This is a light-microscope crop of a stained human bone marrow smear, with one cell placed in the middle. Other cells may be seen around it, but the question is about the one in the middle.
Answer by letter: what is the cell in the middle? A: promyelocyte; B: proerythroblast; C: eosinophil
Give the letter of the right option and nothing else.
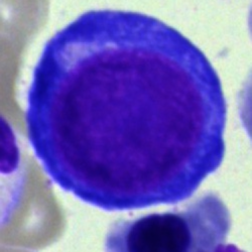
B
